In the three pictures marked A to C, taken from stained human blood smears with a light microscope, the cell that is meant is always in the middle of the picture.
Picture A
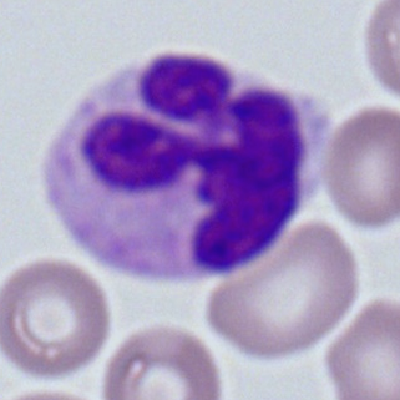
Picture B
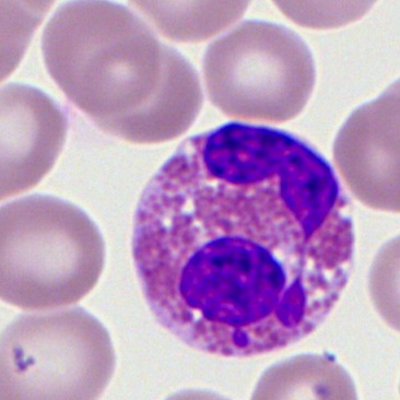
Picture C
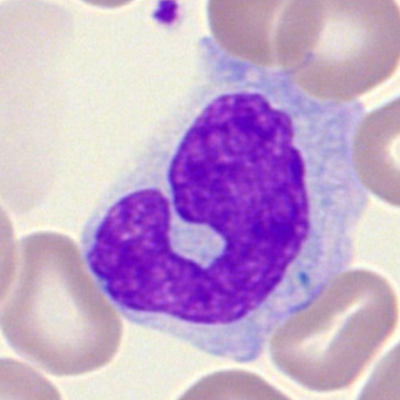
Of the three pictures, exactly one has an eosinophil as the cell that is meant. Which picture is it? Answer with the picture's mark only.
B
